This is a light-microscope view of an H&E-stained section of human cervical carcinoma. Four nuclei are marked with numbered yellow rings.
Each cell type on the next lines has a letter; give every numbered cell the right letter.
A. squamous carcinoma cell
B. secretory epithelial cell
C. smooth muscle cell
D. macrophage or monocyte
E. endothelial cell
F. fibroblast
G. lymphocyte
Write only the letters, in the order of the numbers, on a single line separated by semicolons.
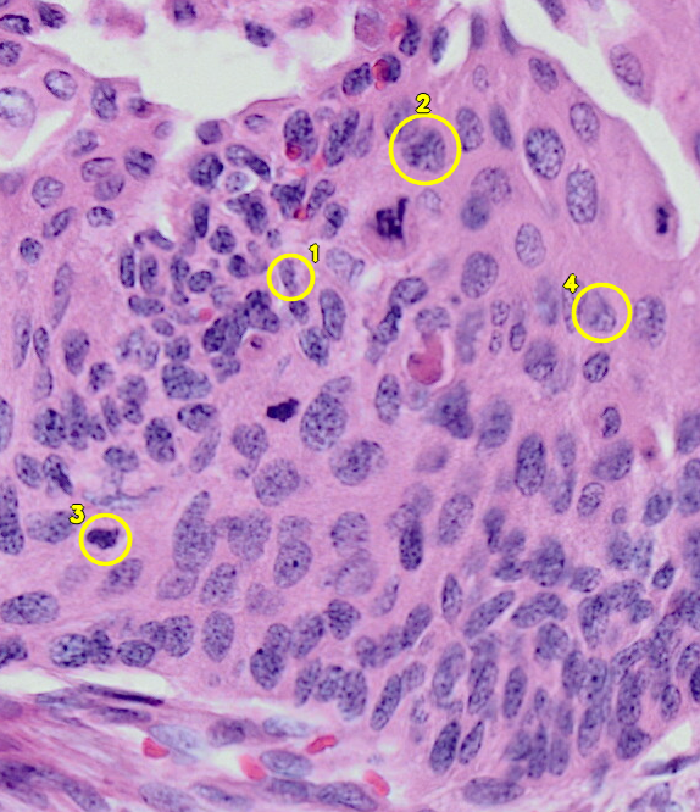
A; A; G; A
